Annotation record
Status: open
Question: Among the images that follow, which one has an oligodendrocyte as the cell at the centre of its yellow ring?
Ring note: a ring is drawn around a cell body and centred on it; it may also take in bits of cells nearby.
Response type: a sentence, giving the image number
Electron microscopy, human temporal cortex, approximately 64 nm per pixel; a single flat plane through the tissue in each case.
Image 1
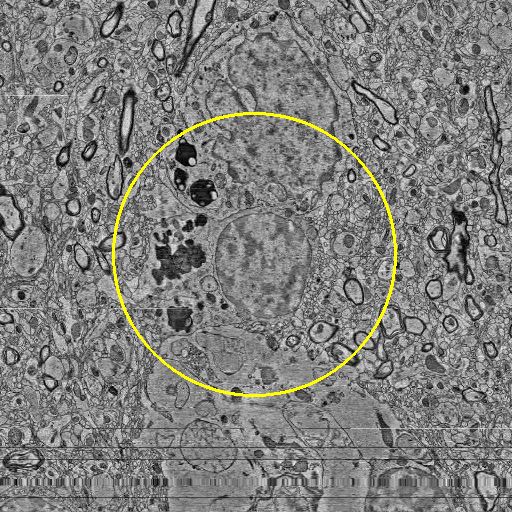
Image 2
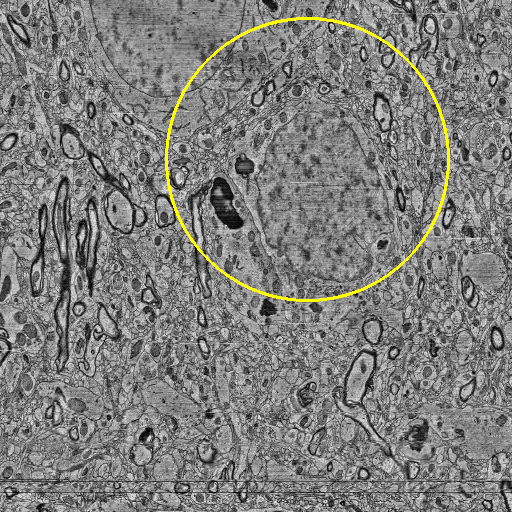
Image 1 shows it at the centre of its ring.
